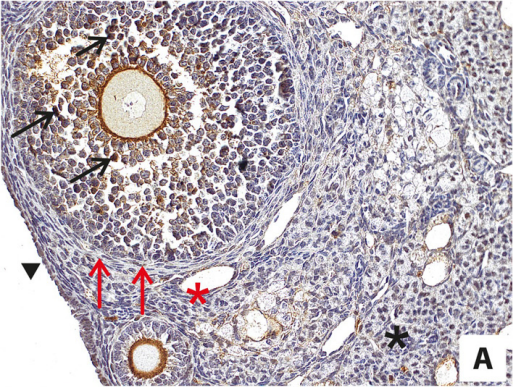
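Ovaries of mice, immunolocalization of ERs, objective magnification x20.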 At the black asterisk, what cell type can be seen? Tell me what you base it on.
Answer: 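The asterisk lies in the tissue between follicles, outside any follicle wall. Cells there are loosely arranged with round to oval nuclei. That points to this answer: interstitial cells.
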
